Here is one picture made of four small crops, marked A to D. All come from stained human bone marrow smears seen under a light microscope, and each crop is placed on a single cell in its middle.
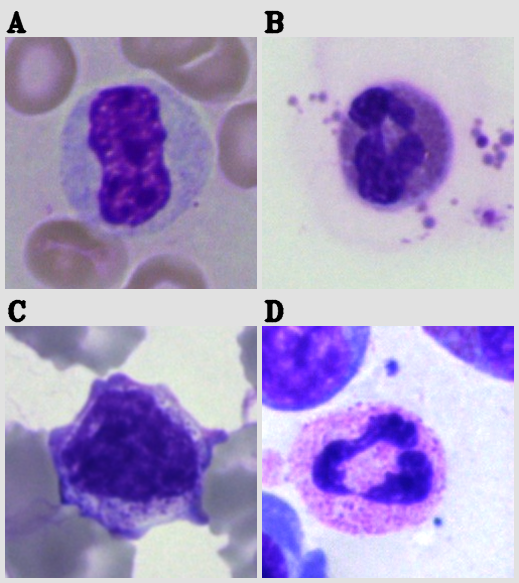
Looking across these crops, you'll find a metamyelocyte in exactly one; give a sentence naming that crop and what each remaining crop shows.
With respect to crop A, the cell is a metamyelocyte, whereas crop B is an eosinophil, crop C is a myelocyte and crop D is a segmented neutrophil.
